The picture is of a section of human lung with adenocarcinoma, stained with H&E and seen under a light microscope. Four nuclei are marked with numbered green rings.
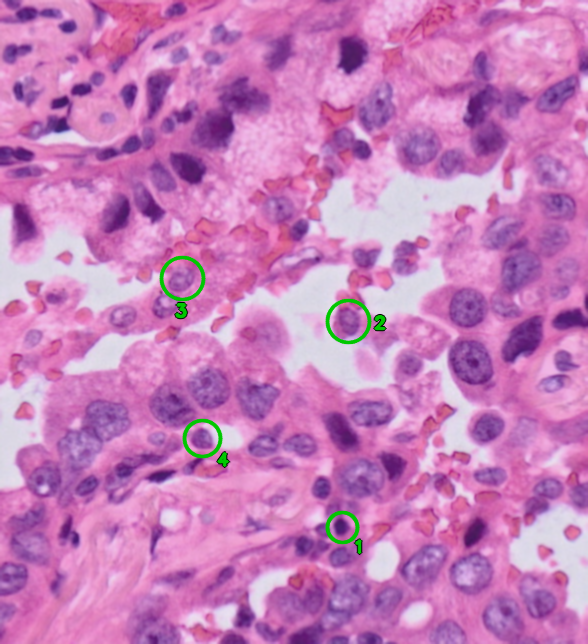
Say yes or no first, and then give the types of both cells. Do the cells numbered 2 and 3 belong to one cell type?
Yes: cells 2 and 3 are both macrophages or monocytes.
